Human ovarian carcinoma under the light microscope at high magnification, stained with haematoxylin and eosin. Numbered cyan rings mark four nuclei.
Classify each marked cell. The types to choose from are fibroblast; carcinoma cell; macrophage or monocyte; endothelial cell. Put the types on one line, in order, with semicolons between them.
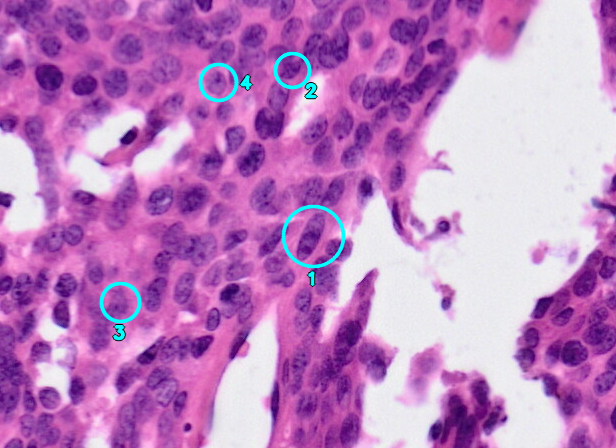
carcinoma cell; carcinoma cell; carcinoma cell; macrophage or monocyte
